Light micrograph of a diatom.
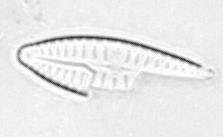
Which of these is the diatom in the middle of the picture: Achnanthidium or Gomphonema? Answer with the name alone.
Gomphonema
